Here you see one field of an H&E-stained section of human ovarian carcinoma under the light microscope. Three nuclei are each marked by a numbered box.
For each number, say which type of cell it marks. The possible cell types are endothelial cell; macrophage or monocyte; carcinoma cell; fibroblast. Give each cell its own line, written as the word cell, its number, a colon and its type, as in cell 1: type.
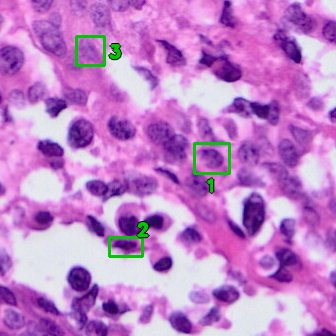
cell 1: macrophage or monocyte
cell 2: carcinoma cell
cell 3: carcinoma cell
